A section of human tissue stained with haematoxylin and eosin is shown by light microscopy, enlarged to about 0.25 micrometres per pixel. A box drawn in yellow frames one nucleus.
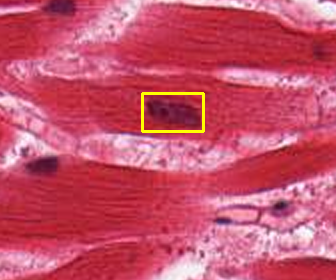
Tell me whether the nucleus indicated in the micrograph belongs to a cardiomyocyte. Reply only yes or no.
yes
